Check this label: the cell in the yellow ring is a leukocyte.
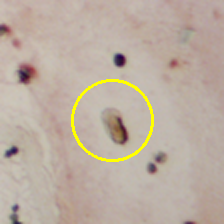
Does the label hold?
The label does not hold; the cell is a cornified epithelial cell.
